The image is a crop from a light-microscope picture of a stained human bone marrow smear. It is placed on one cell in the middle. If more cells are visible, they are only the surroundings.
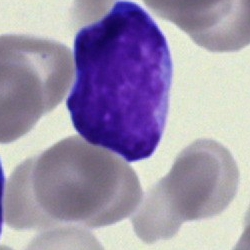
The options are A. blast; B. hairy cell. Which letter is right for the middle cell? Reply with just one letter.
A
